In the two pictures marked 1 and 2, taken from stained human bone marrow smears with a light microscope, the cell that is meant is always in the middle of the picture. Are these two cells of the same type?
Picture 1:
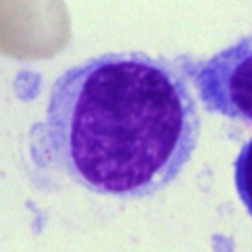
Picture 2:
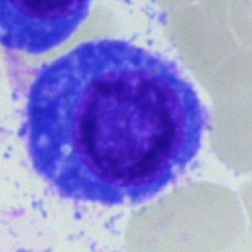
no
